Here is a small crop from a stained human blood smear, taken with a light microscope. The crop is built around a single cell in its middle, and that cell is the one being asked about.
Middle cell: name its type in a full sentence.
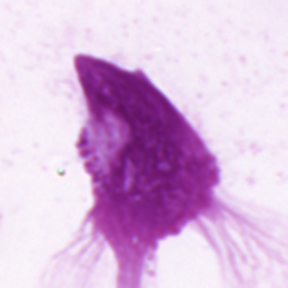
Among the cells in view, the one in the middle is a smudge cell.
